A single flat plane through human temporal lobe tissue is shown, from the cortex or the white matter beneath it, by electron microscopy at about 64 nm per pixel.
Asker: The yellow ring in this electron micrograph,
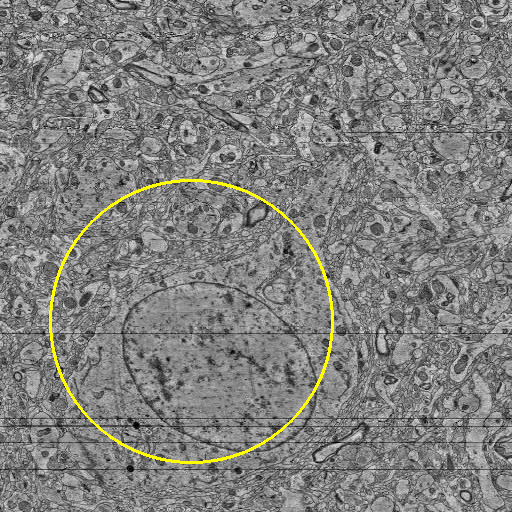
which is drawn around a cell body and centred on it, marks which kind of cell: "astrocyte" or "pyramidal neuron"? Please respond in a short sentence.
The marked cell is a pyramidal neuron.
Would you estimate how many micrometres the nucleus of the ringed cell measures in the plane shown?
In this plane the nucleus measures roughly 13 by 10 micrometers.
